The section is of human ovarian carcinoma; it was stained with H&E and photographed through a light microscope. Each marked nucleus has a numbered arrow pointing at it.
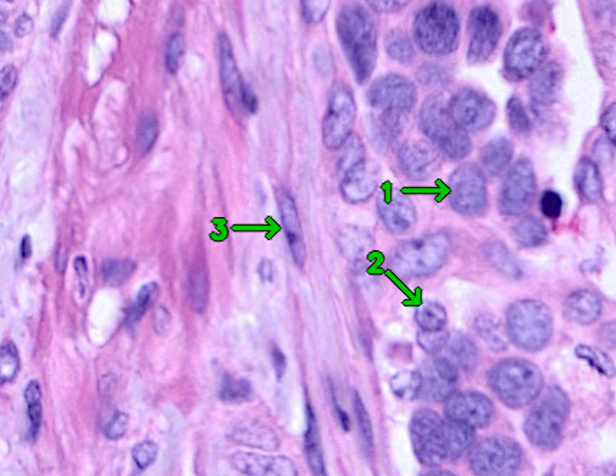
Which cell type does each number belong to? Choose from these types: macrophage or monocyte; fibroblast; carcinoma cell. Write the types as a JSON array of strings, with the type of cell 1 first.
["carcinoma cell", "macrophage or monocyte", "fibroblast"]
